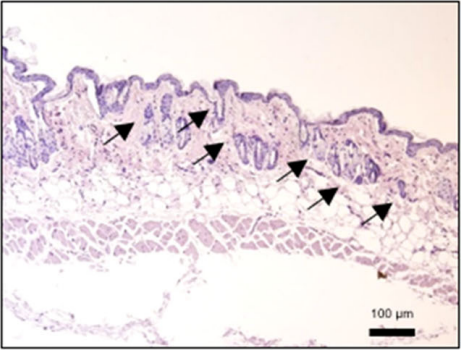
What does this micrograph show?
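This section of skin shows a thin purple epidermis over a pink dermis crowded with many small purple hair follicles. The follicles are slender and mostly lack the dark pigmented bulbs, and several are marked by arrows. Below them lies a layer of pale fat cells, and beneath that a band of pink skeletal muscle fibres.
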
